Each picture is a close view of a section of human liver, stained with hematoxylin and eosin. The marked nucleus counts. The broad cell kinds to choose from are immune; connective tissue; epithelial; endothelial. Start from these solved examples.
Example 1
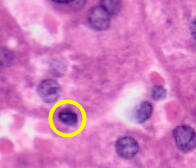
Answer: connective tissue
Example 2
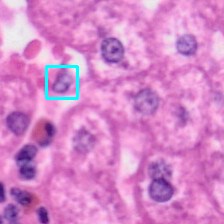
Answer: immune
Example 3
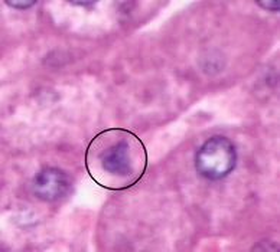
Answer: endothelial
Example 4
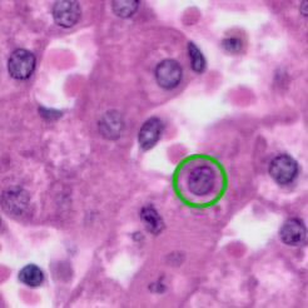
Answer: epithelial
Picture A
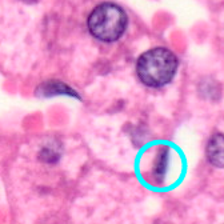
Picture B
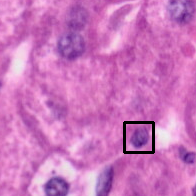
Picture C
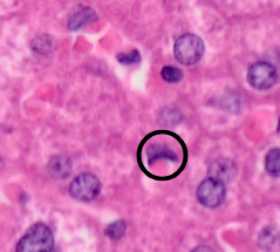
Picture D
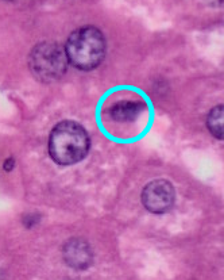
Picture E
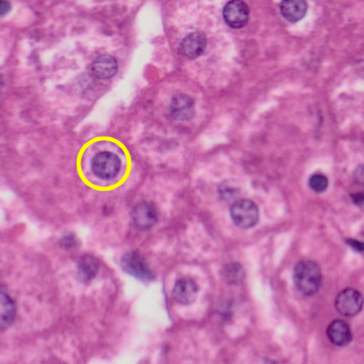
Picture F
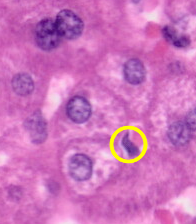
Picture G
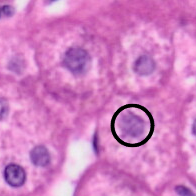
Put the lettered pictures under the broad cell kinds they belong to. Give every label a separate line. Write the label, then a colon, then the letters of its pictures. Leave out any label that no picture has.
connective tissue: B, D
epithelial: E, G
endothelial: A, C, F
